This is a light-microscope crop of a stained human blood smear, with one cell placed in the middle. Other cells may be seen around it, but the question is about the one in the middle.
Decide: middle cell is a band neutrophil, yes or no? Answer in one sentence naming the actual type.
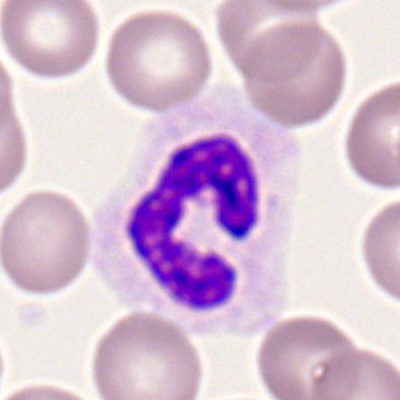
Yes, a band neutrophil is what the central cell is.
